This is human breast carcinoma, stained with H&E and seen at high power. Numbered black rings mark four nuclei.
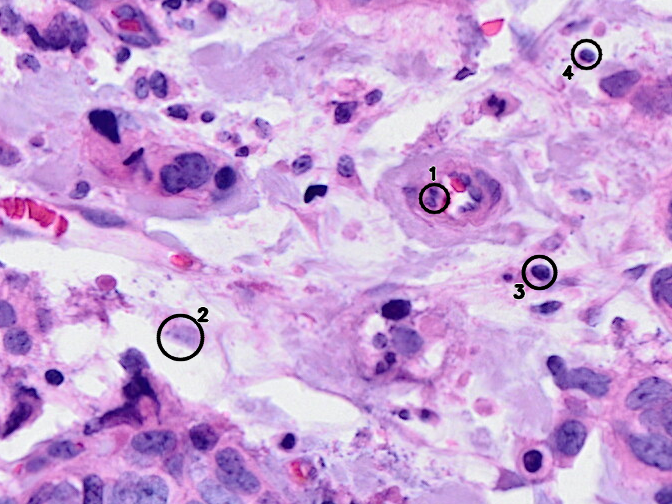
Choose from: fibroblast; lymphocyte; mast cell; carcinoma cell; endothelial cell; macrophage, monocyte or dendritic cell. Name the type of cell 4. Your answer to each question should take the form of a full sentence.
The cell identified by the number 4 is a lymphocyte.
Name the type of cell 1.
The cell that goes by number 1 is an endothelial cell.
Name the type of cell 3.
The cell referenced by the number 3 is a lymphocyte in this field.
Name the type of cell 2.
The cell that bears the number 2 is a fibroblast.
